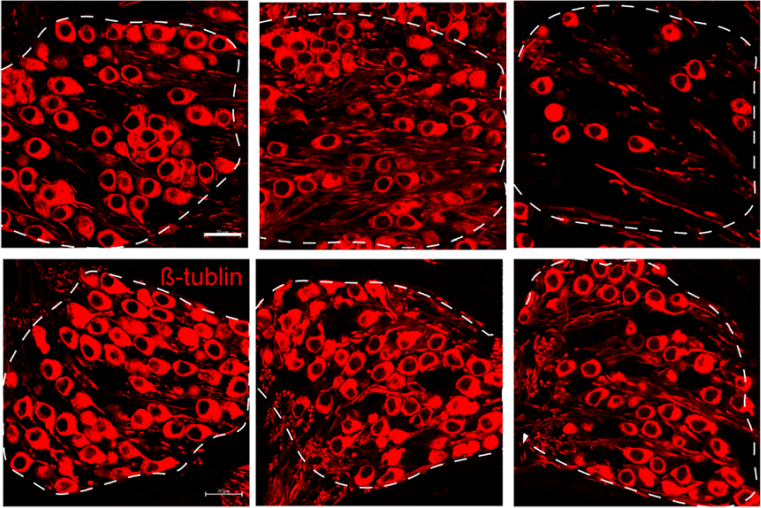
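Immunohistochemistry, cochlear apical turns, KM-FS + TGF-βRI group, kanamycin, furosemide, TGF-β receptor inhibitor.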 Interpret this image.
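Six fluorescence images show spiral ganglion neurons within Rosenthal’s canal, each region bordered by a white dashed line. The neuronal cell bodies are round, brightly red in the cytoplasm, with a dark, unstained round nucleus, and thin red fibres run between them. In most images the cell bodies fill the outlined region densely. In the upper right image far fewer cell bodies are present, leaving wide dark spaces crossed mainly by scattered fibres.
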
